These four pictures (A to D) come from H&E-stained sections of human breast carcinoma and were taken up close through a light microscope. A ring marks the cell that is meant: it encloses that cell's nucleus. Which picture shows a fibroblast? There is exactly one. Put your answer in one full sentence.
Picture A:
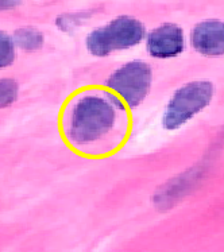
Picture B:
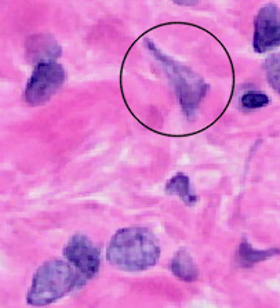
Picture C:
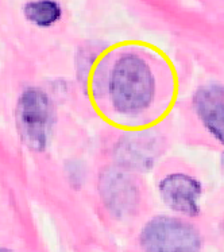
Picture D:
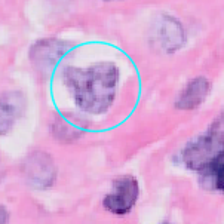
Picture B shows the fibroblast.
